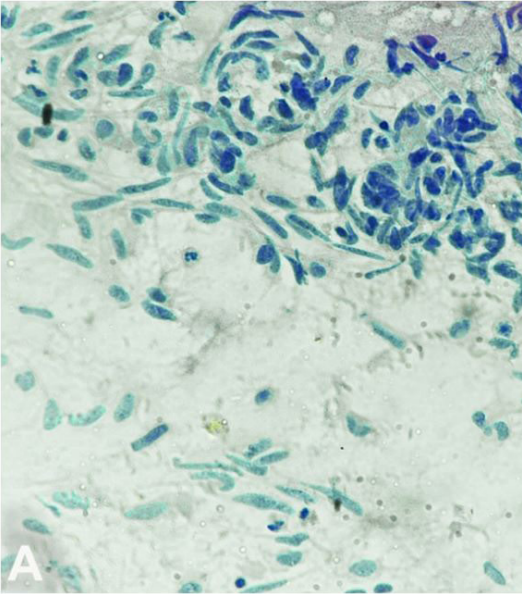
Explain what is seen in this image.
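This cytology smear shows a population of spindle cells, seen both in clusters and singly scattered. The cells are elongated with tapering ends and contain oval to cigar-shaped nuclei. In the upper part of the field they form a crowded cluster with overlapping, darker blue nuclei, some arranged in whorl-like groups. Toward the lower part of the field the cells lie singly and stain a paler blue-green. The cytoplasm is scant and poorly defined, and the cells lie in a pale, finely fibrillary background.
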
